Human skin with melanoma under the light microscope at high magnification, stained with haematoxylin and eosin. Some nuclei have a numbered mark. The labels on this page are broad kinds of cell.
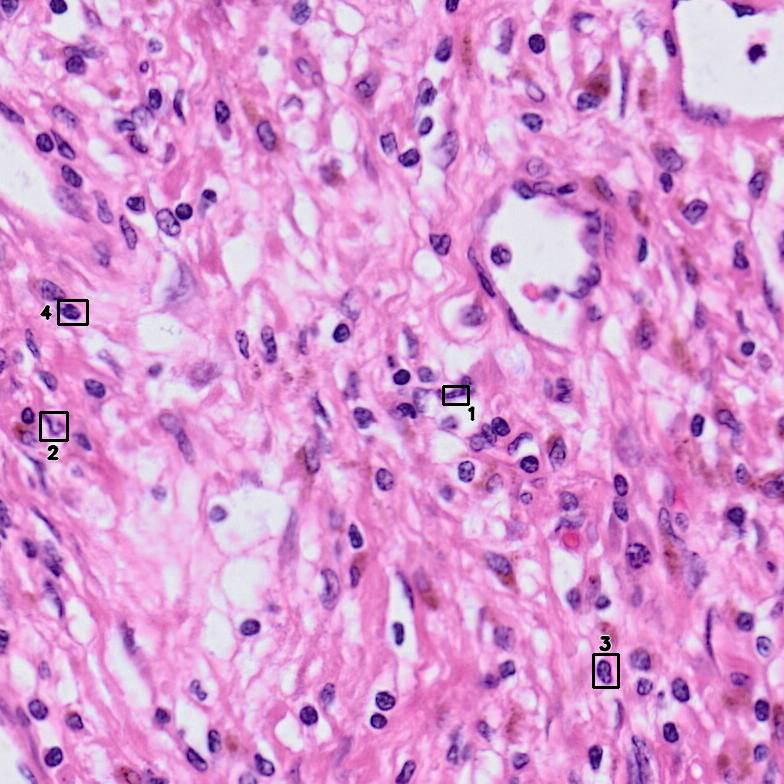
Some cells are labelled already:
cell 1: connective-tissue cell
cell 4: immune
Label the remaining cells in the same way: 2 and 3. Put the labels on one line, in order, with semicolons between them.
connective-tissue cell; immune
